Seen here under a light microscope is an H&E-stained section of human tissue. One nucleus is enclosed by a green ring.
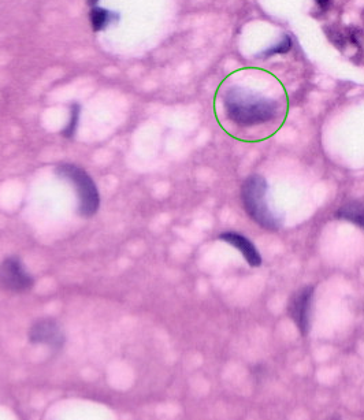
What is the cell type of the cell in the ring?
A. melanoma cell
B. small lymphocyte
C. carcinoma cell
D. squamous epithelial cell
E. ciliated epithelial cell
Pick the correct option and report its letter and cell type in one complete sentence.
Settle on option D; the cell in the ring is a squamous epithelial cell.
